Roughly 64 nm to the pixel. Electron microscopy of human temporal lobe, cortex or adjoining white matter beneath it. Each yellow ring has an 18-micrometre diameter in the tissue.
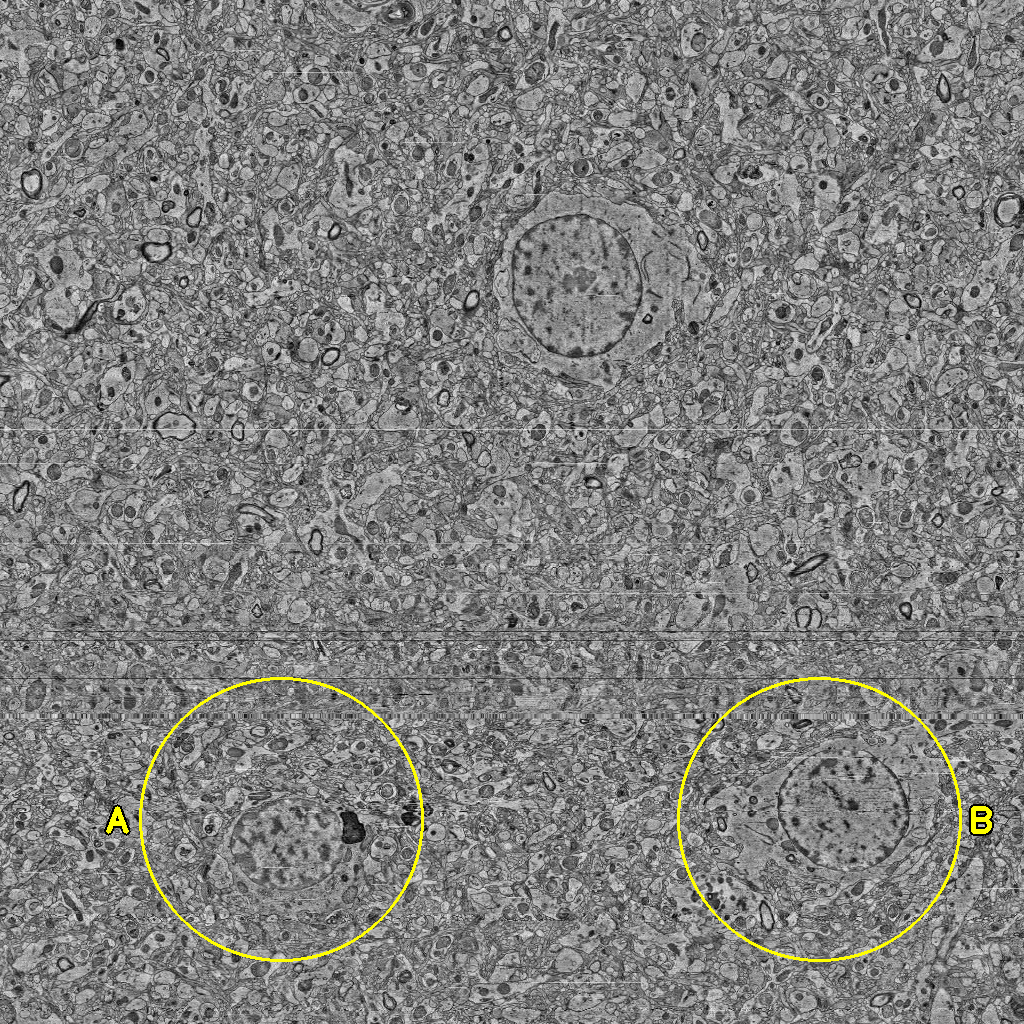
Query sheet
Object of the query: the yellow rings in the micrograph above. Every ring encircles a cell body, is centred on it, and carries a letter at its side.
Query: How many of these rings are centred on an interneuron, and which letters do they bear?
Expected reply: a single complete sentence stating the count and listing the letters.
No single ring in the set is centred on an interneuron, and so the count equals zero.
